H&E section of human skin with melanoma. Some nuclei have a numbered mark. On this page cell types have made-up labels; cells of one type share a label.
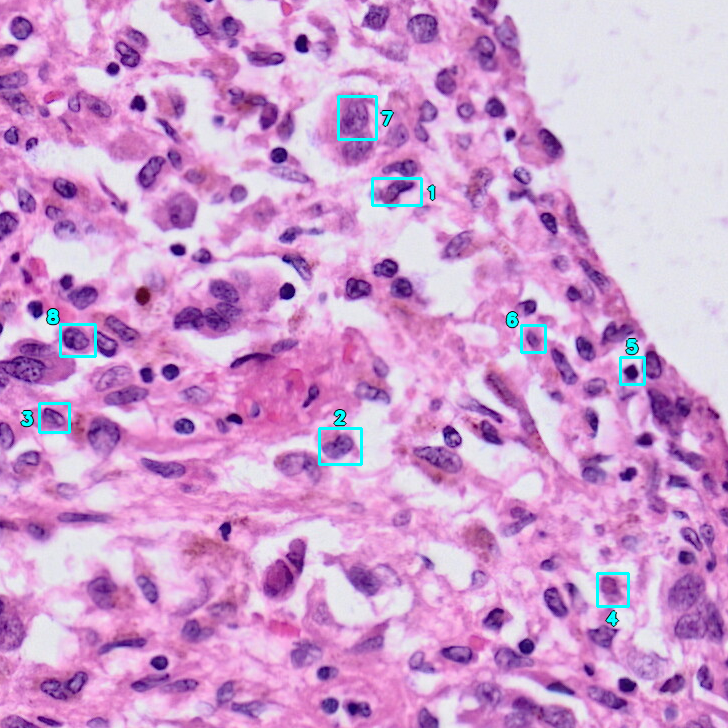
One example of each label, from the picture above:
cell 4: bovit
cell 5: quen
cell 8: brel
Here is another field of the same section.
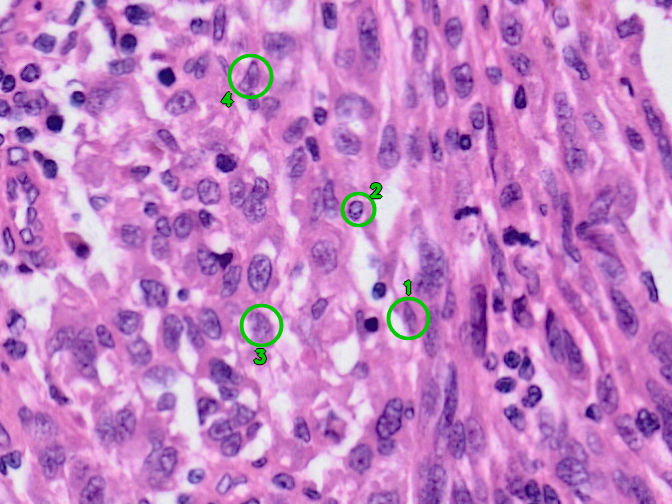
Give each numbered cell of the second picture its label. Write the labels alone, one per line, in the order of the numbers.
bovit
quen
bovit
bovit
